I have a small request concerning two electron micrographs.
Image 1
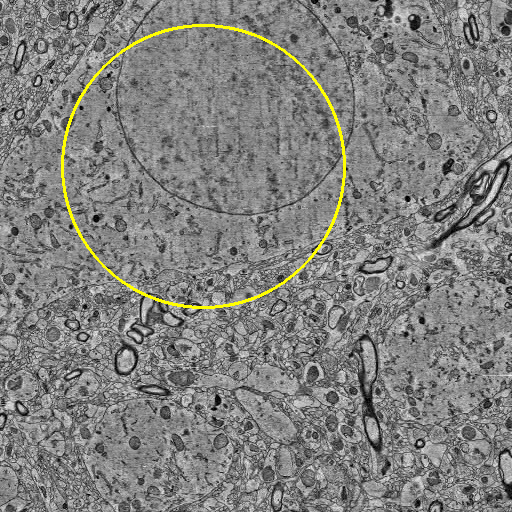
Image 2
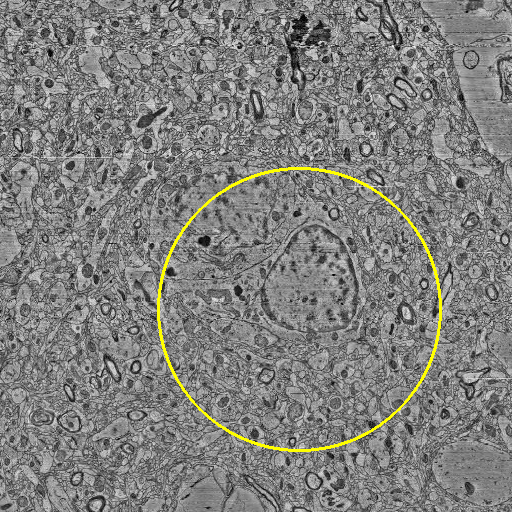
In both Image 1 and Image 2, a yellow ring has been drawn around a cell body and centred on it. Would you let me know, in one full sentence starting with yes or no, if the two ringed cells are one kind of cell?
No, the cells ringed in Image 1 and Image 2 are two kinds of cell.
